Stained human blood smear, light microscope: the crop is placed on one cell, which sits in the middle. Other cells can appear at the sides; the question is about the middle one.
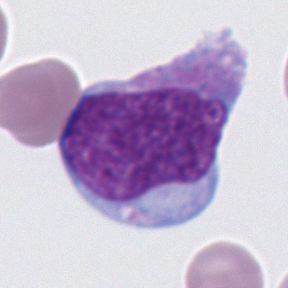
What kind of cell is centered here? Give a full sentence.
Where the crop is centred, there is an atypical promyelocyte.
